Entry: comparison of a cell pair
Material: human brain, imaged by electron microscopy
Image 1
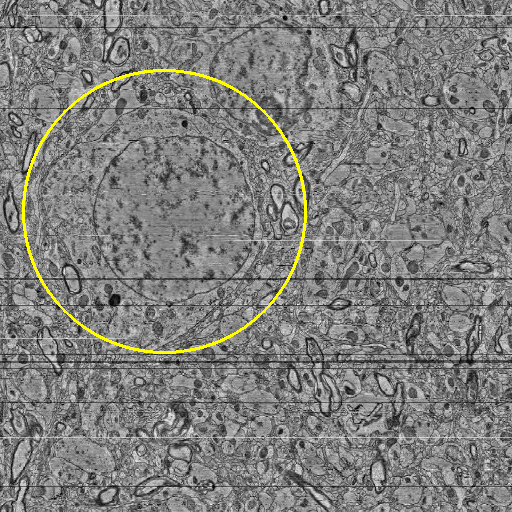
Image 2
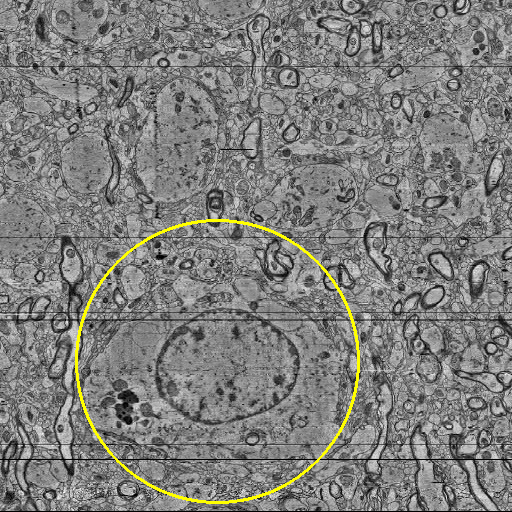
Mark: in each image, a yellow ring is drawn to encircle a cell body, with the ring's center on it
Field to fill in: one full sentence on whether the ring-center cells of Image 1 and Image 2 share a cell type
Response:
No, Image 1 and Image 2 show ring-center cells of two separate types.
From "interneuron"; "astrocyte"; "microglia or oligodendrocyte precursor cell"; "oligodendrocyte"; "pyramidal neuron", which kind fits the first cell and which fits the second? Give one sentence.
The cell marked in the first picture is a pyramidal neuron, and the one marked in the second is an astrocyte.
